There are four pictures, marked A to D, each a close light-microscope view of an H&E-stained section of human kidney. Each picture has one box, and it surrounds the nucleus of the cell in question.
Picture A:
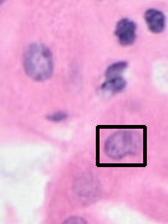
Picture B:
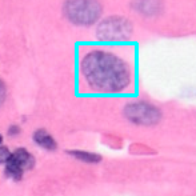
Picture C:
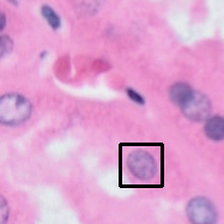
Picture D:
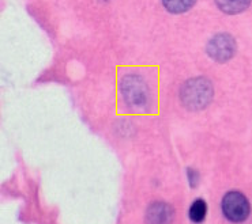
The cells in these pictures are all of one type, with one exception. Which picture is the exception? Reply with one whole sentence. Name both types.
The different one is picture B; it shows a “loop of Henle or distal tubule cell”, whereas all the others show proximal tubule cells.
